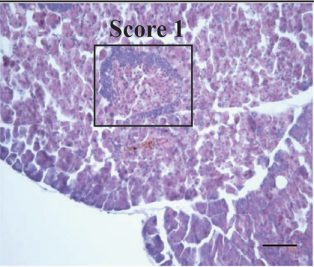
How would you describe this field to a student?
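Within pink acinar glandular tissue, a boxed round islet shows a pale pink centre of loosely arranged cells with lighter nuclei. Around its edge lies a dense crescent-shaped cuff of small, dark-purple, closely packed nuclei, mostly at the border and not filling the islet. The exocrine acini around it stain deeper pink-purple and appear intact, and the edge of the tissue section runs along the lower part. This is a pancreatic islet ringed by infiltrating mononuclear cells that have not yet entered its interior, the picture of peri-insulitis.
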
